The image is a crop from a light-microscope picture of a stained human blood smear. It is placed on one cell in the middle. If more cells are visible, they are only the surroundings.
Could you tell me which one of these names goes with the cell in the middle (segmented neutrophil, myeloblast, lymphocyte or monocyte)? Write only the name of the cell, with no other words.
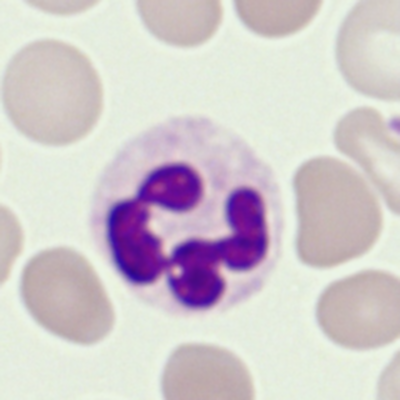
segmented neutrophil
